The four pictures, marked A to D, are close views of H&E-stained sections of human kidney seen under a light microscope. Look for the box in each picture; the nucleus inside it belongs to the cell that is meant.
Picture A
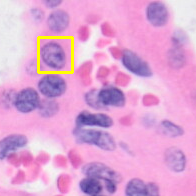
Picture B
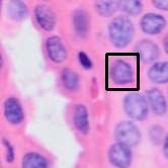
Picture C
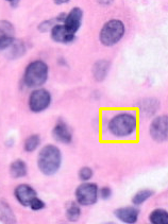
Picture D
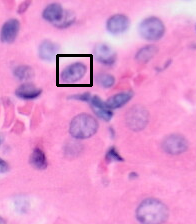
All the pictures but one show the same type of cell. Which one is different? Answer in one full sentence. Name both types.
Picture D is the odd one out: it shows a “loop of Henle or distal tubule cell”, while the others show collecting duct cells.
